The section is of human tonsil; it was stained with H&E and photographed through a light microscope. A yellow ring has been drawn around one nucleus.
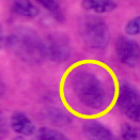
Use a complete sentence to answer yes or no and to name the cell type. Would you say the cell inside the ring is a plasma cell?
No, the cell inside the ring is a squamous epithelial cell, and it is not a plasma cell.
